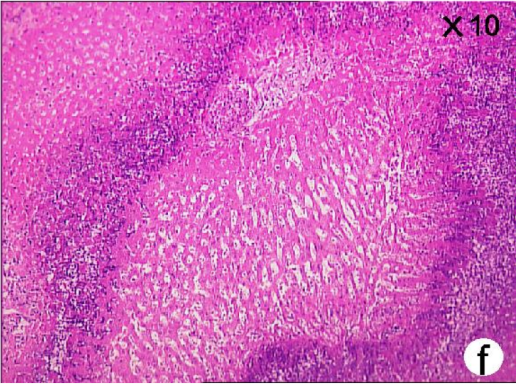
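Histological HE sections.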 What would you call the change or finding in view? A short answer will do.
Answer: map-like necrosis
